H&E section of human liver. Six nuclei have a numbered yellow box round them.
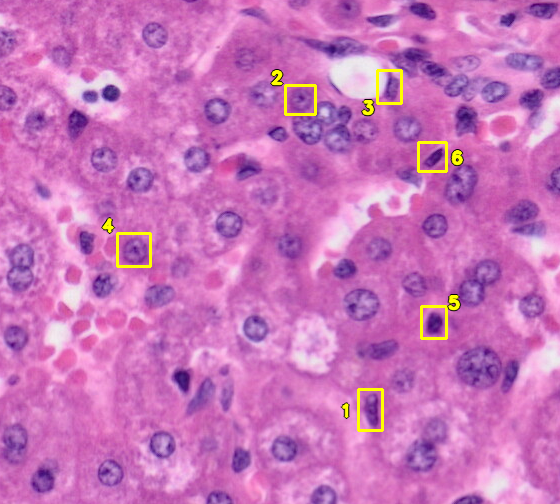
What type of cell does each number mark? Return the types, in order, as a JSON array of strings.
["fibroblast or stellate cell", "cholangiocyte", "fibroblast or stellate cell", "hepatocyte", "lymphocyte", "fibroblast or stellate cell"]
